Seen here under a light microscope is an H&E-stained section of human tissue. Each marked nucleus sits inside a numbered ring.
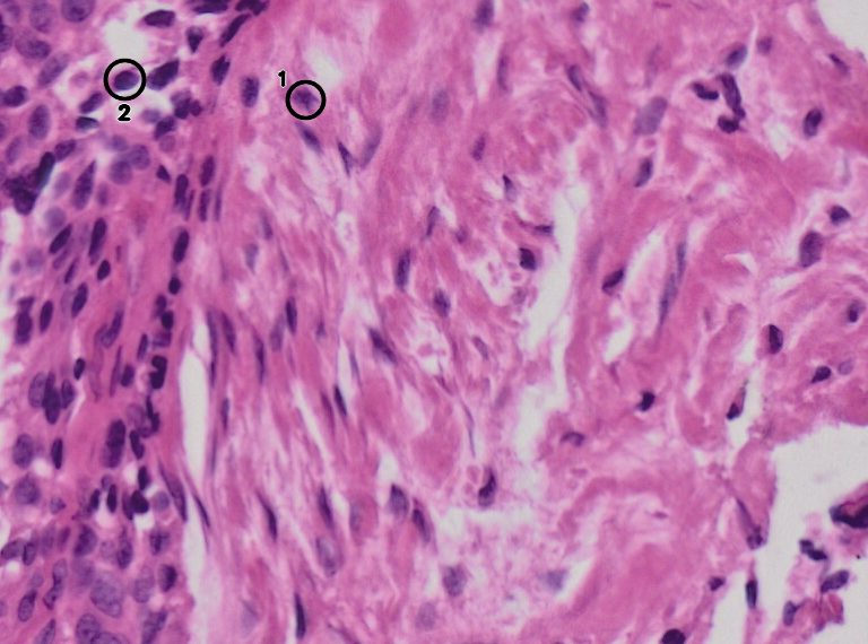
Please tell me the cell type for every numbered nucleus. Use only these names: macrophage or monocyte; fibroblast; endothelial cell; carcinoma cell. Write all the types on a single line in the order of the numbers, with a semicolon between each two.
fibroblast; carcinoma cell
